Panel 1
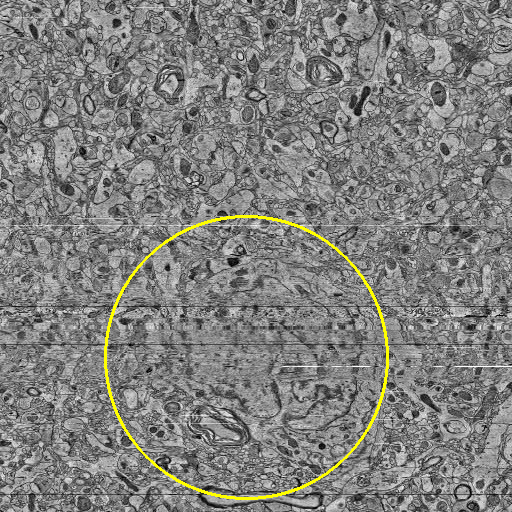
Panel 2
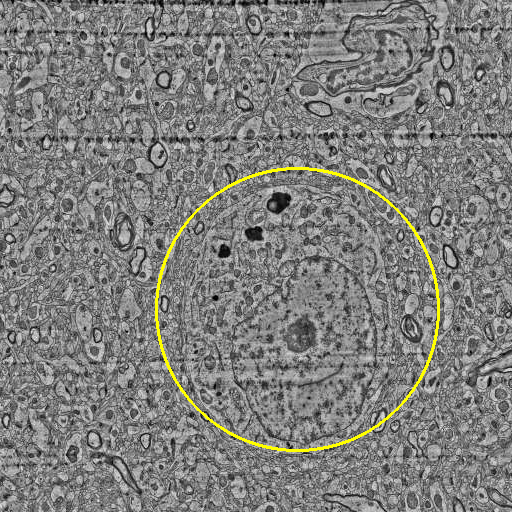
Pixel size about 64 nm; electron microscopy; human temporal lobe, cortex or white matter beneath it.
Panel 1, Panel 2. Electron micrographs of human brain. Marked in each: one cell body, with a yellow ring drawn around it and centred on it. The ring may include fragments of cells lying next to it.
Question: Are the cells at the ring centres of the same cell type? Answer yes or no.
yes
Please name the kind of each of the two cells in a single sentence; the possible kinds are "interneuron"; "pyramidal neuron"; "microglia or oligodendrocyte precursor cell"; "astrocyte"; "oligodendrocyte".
Both rings mark an interneuron, one in each picture.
